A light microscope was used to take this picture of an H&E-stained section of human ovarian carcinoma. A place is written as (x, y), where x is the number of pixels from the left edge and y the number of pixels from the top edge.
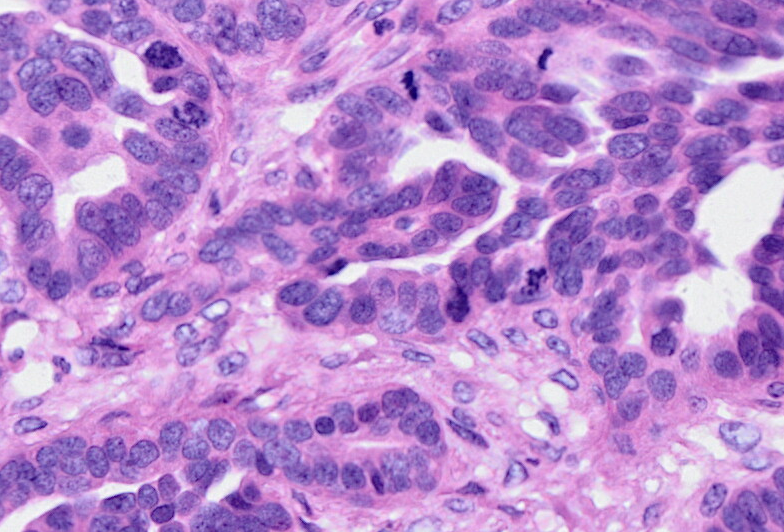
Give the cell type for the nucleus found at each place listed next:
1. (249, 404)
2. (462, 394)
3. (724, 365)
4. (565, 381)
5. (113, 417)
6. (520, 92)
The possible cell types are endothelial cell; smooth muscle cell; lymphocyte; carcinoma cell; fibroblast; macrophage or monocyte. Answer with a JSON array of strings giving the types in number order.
["fibroblast", "fibroblast", "carcinoma cell", "fibroblast", "fibroblast", "carcinoma cell"]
